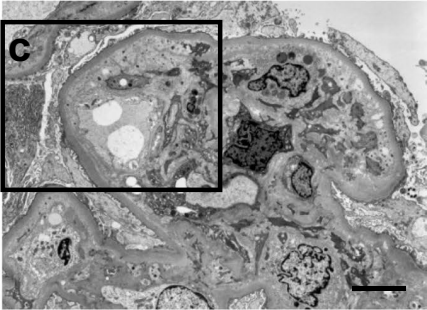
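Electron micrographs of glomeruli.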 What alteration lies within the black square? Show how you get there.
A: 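Subendothelial space is enlarged. The thickened wall encloses pale vacuolated material.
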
